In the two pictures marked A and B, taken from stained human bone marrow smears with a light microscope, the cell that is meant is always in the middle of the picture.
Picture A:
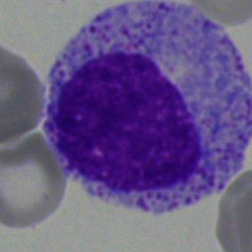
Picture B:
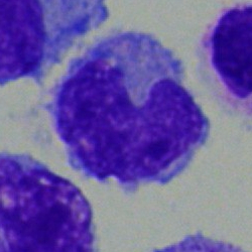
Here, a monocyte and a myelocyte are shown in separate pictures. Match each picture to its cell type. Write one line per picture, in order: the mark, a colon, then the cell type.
A: myelocyte
B: monocyte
